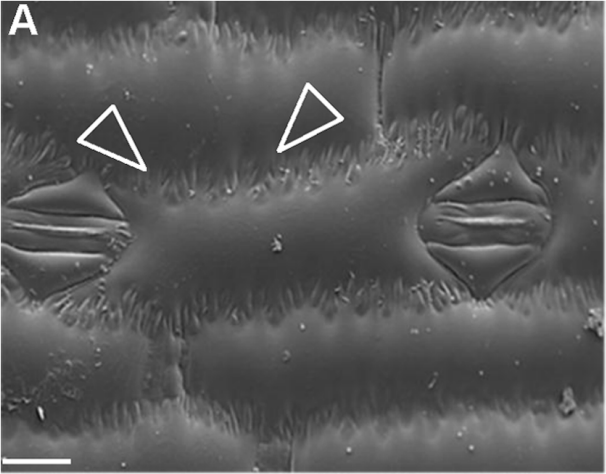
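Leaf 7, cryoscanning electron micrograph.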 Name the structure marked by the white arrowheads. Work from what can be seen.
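The arrowheads point at the wall between adjacent elongated surface cells. The wall is fringed with many thin, finger-like projections. So: epidermal lobing pattern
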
